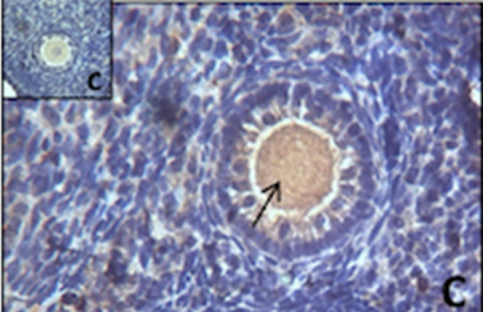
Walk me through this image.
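A secondary follicle with its oocyte lies in ovarian stroma. The large round oocyte has finely granular, pale brown cytoplasm and is surrounded by a clear band, around which two to three layers of small granulosa cells with round blue nuclei are arranged in a ring. Spindle-shaped stromal cells with elongated blue nuclei encircle the follicle.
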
